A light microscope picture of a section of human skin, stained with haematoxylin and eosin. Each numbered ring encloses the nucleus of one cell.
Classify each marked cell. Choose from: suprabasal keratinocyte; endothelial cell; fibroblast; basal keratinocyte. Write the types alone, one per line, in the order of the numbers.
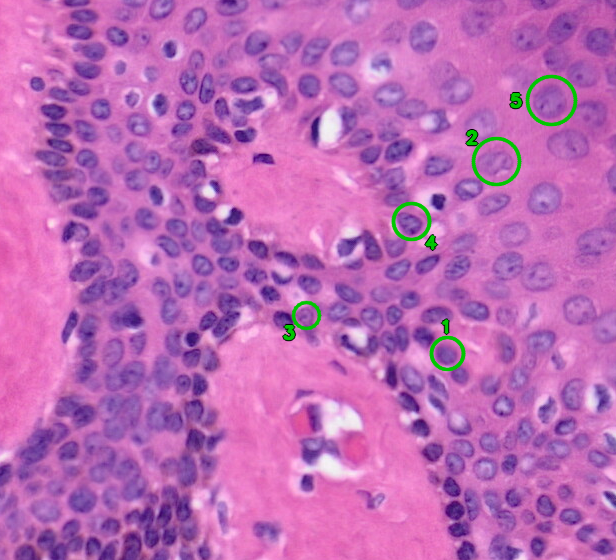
basal keratinocyte
suprabasal keratinocyte
basal keratinocyte
basal keratinocyte
suprabasal keratinocyte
